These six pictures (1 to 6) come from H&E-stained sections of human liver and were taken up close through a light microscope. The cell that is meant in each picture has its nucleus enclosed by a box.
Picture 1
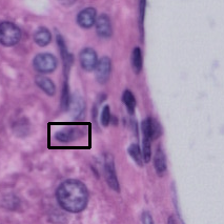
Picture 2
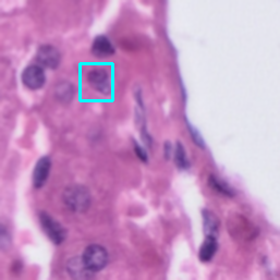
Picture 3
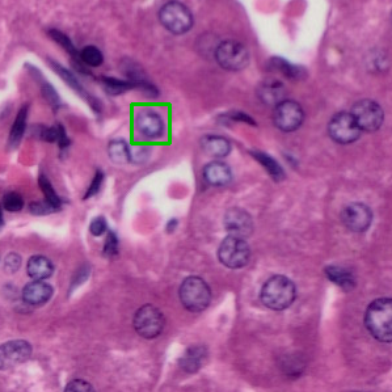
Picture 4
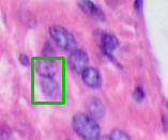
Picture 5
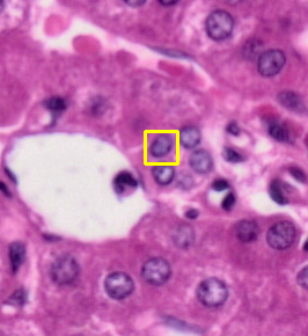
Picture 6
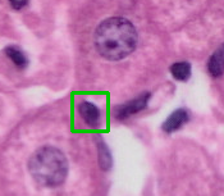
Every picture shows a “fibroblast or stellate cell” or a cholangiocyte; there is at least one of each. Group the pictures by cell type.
1: fibroblast or stellate cell
2: fibroblast or stellate cell
3: cholangiocyte
4: cholangiocyte
5: cholangiocyte
6: fibroblast or stellate cell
